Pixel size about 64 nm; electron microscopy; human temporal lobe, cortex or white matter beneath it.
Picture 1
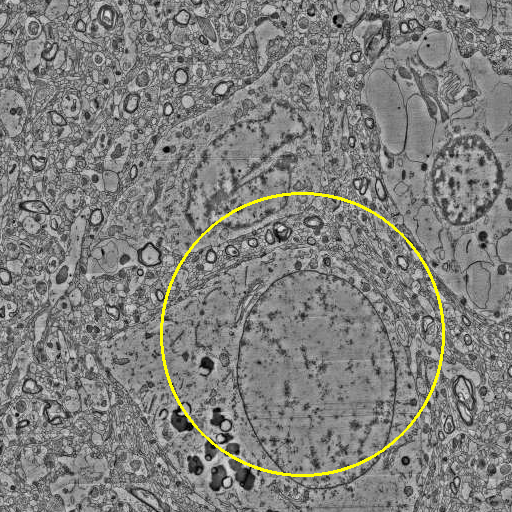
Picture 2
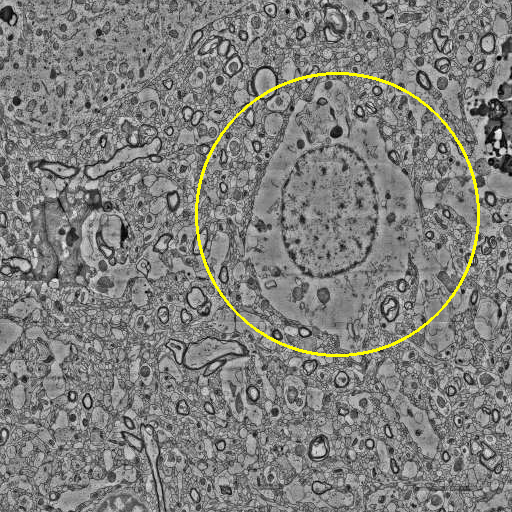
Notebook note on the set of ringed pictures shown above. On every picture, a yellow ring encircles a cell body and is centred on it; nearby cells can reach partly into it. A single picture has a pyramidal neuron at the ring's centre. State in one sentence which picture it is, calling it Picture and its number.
Picture 1 is the one whose ring is centred on the sought cell.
